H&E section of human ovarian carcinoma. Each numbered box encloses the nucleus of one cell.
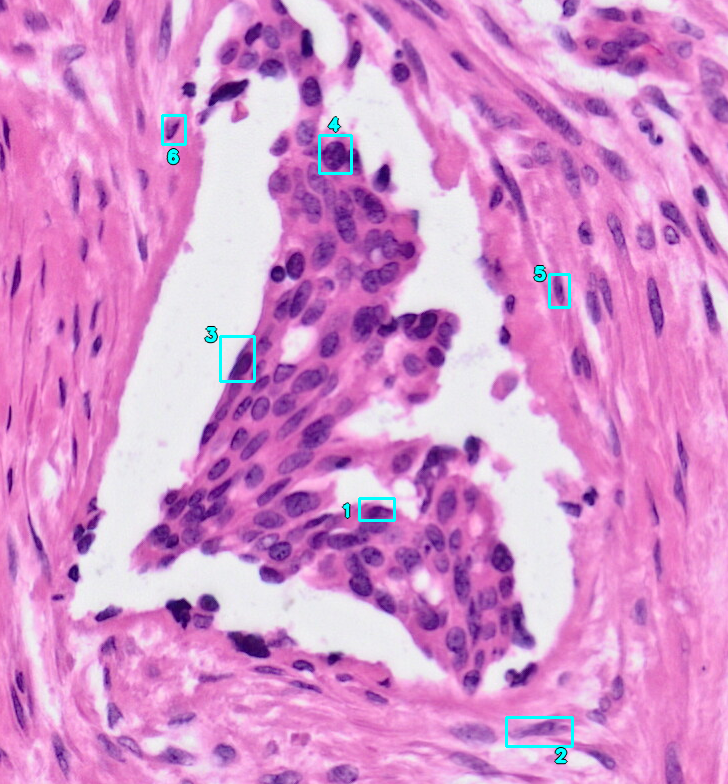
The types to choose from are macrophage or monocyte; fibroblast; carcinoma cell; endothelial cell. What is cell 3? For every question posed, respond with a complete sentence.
The numbered cell 3 is identified here as a carcinoma cell.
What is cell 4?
The correct label for cell 4 is a carcinoma cell.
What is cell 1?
Regarding cell 1, this one is a carcinoma cell.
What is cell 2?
The cell identified by the number 2 is a fibroblast.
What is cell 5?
Number 5 among the marked cells is a fibroblast.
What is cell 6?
The cell identified by the number 6 is a fibroblast.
